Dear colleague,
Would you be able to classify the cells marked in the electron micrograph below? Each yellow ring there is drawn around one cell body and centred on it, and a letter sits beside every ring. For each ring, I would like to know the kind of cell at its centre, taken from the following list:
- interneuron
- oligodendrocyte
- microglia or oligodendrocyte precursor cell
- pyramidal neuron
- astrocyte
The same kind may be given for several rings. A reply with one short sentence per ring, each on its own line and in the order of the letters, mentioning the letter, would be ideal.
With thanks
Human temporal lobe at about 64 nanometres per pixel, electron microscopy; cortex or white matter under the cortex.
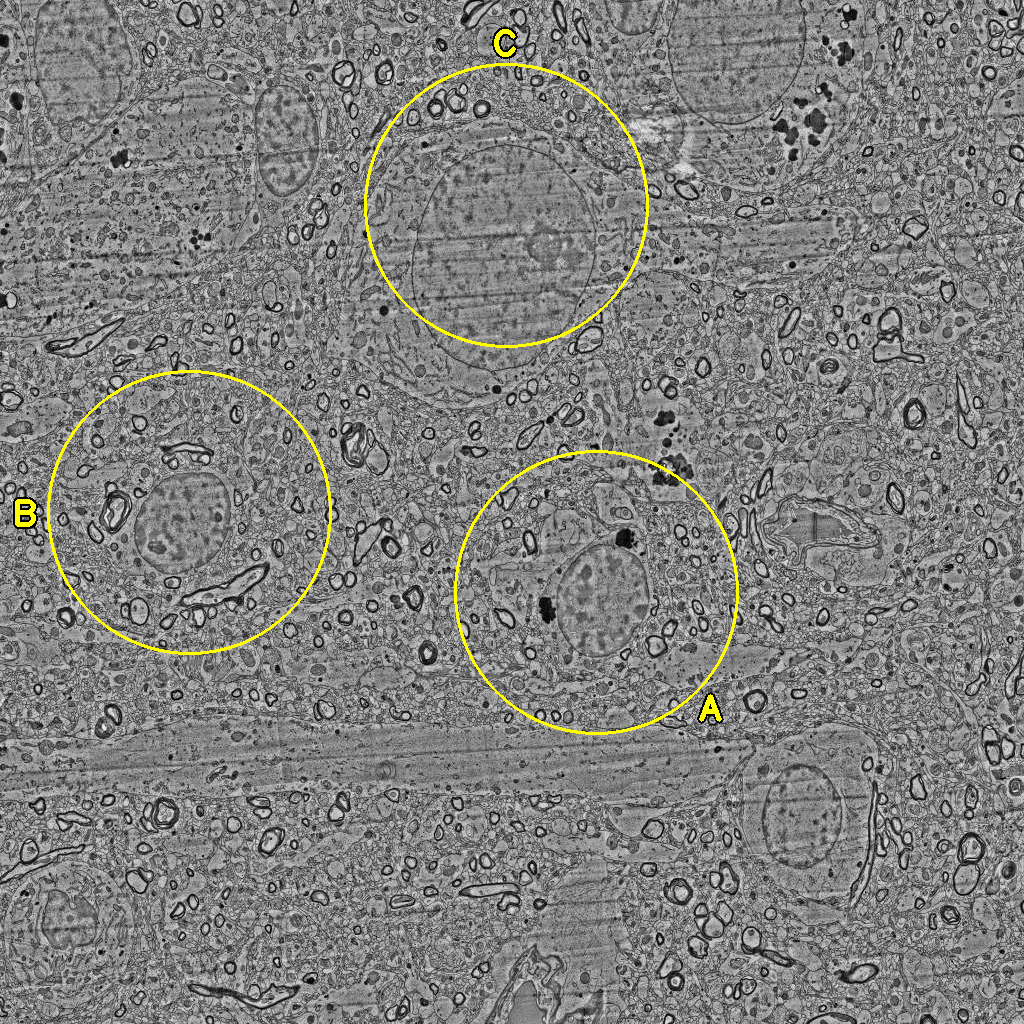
Ring A contains an oligodendrocyte at its centre.
Ring B contains an oligodendrocyte at its centre.
Ring C contains a pyramidal neuron at its centre.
